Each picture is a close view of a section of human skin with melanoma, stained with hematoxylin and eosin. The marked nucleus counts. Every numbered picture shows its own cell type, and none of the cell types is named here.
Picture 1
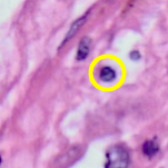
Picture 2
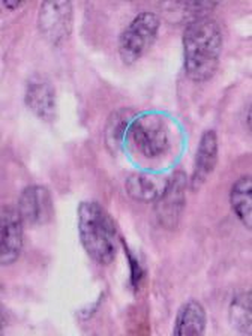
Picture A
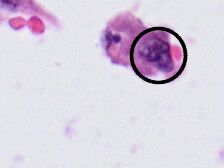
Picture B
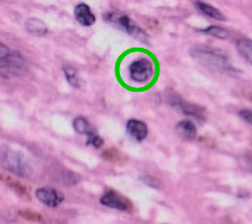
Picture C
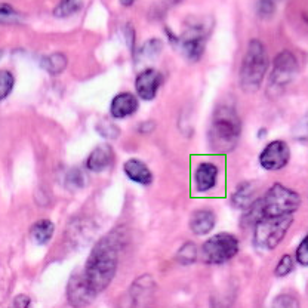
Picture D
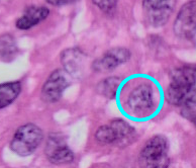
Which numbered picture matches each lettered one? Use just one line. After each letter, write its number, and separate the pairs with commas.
A 2, B 1, C 1, D 2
